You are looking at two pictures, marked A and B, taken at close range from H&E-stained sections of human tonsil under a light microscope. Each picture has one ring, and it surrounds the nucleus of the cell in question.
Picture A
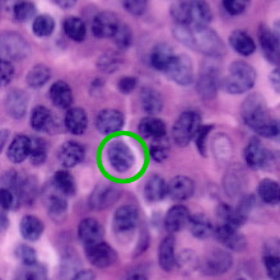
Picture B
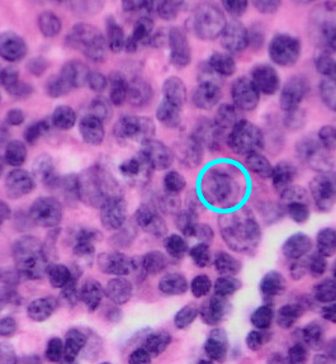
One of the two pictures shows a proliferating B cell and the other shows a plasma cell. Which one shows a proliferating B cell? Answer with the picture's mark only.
B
